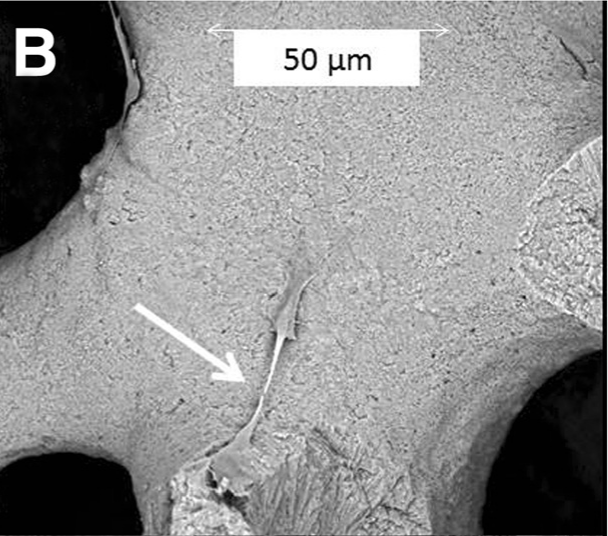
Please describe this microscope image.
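A single spindle-shaped cell lies on the finely textured wall of a porous mineral scaffold, between several large dark pores. Its body is elongated and drawn out into a long thin strand that reaches down toward a rougher, crystalline patch near the lower edge.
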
